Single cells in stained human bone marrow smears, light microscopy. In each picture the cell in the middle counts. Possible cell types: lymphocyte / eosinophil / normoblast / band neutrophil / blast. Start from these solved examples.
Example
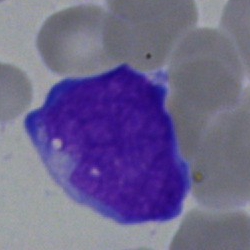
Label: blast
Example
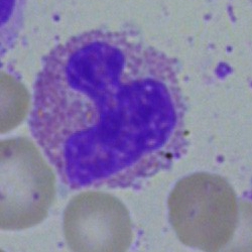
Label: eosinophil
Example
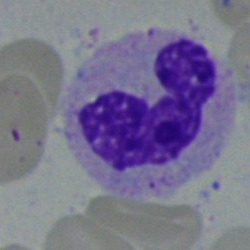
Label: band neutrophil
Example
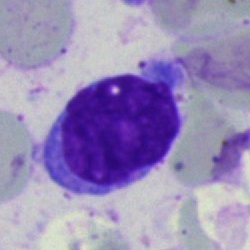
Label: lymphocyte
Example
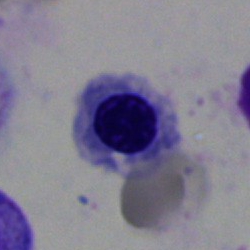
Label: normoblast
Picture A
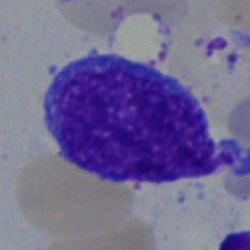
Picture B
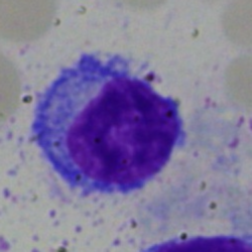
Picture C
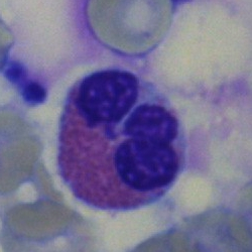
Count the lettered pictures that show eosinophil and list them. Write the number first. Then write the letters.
1: C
